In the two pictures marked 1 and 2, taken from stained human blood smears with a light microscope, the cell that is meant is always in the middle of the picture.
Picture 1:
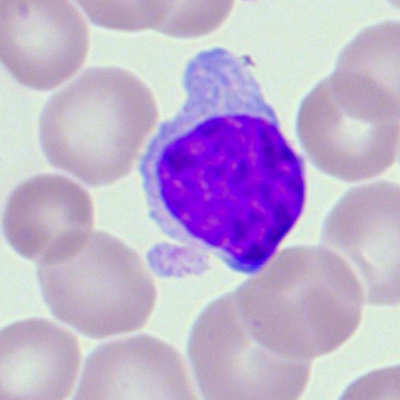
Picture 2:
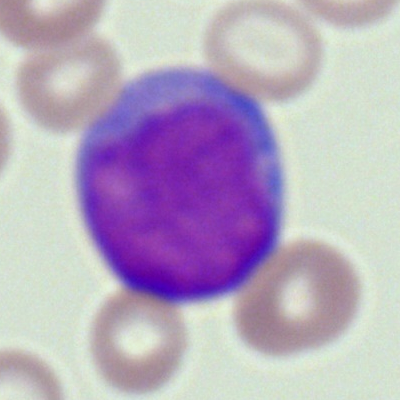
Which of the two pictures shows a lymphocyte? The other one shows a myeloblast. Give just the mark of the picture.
1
